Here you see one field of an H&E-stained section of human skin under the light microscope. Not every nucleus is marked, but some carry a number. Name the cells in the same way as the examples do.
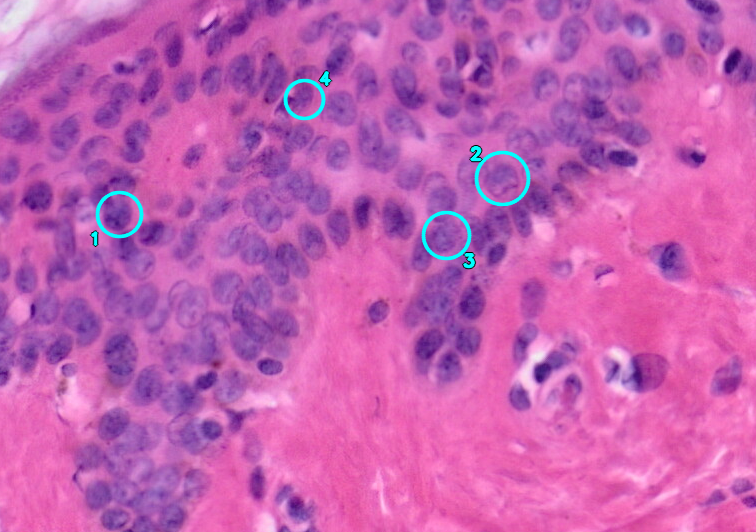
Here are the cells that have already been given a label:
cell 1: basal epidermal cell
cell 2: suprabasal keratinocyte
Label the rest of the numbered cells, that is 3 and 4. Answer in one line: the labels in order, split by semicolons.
basal epidermal cell; basal epidermal cell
